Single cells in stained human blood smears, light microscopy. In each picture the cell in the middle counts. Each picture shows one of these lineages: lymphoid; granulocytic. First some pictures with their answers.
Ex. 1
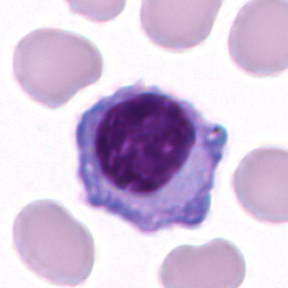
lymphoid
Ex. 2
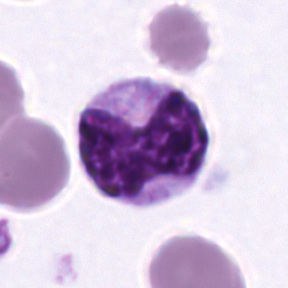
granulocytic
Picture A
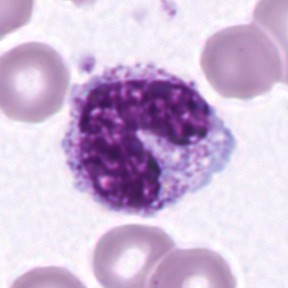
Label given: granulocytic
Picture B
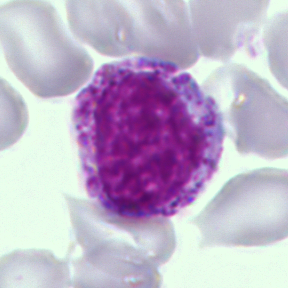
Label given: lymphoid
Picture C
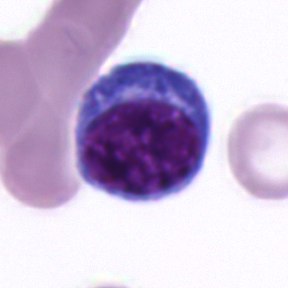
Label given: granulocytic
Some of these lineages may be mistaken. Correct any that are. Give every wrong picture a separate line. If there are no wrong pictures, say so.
B: change lymphoid to granulocytic
C: change granulocytic to lymphoid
